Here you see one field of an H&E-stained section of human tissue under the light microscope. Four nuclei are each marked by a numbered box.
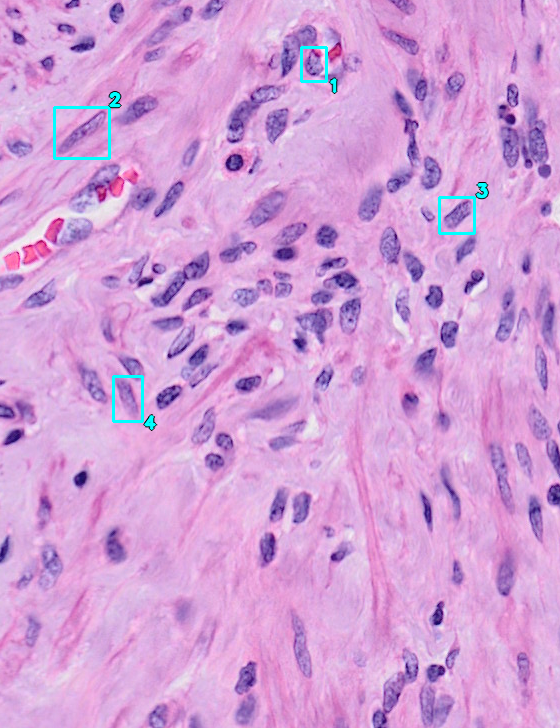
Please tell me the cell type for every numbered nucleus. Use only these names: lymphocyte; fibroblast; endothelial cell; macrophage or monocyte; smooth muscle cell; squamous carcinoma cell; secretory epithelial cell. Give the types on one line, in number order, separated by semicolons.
endothelial cell; smooth muscle cell; fibroblast; smooth muscle cell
